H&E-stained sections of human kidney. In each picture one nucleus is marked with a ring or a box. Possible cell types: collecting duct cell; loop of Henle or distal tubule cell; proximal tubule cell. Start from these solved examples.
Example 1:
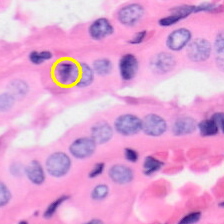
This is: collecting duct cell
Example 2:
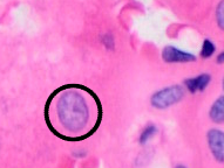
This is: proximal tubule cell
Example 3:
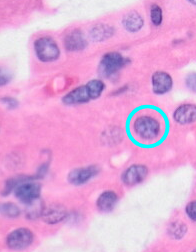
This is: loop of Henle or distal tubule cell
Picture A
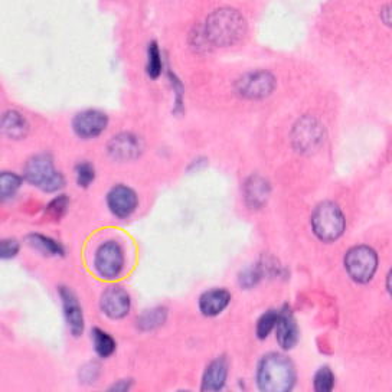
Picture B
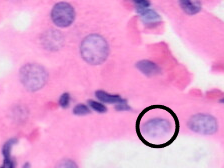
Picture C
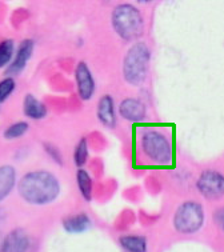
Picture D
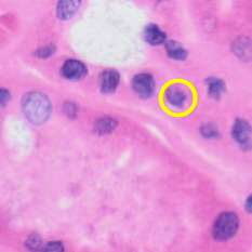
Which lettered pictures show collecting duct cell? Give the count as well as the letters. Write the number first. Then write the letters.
1: C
